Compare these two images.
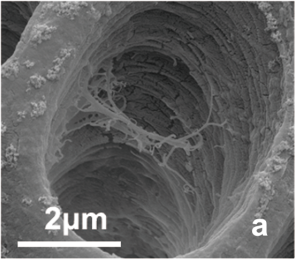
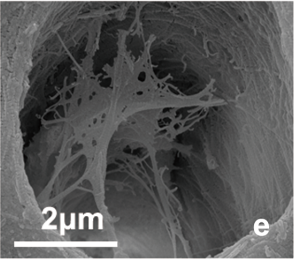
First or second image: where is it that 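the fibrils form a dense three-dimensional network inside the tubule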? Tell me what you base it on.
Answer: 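The second image. Second image: many interconnected fibrils and sheets fill the tubule lumen.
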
